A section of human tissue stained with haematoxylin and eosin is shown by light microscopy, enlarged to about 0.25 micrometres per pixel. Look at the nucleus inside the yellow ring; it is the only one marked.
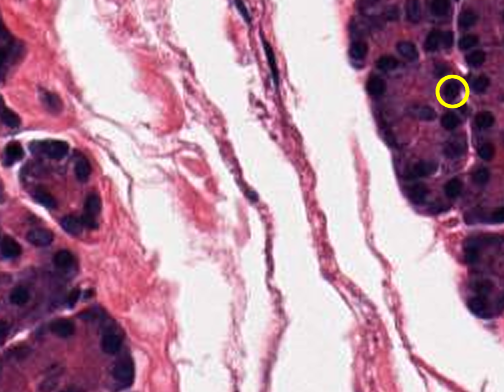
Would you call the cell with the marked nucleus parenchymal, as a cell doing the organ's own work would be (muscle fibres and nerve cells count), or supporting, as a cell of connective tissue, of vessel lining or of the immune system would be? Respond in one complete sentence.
Within a parenchymal cell, namely a pancreatic acinar cell, sits the marked nucleus.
